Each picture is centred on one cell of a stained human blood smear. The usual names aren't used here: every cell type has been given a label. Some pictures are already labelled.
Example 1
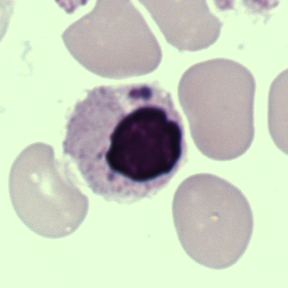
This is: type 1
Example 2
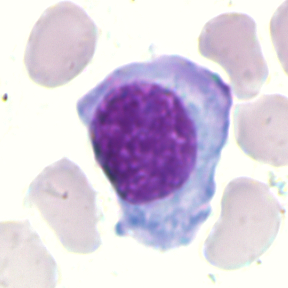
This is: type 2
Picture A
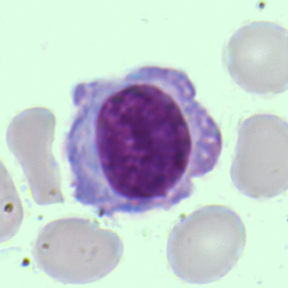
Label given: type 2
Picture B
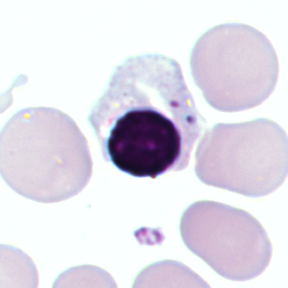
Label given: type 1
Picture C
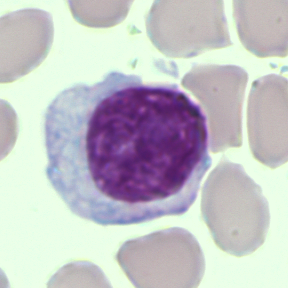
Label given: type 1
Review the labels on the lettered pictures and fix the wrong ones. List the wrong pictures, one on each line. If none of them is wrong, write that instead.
Wrong: C (type 1); correct: type 2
